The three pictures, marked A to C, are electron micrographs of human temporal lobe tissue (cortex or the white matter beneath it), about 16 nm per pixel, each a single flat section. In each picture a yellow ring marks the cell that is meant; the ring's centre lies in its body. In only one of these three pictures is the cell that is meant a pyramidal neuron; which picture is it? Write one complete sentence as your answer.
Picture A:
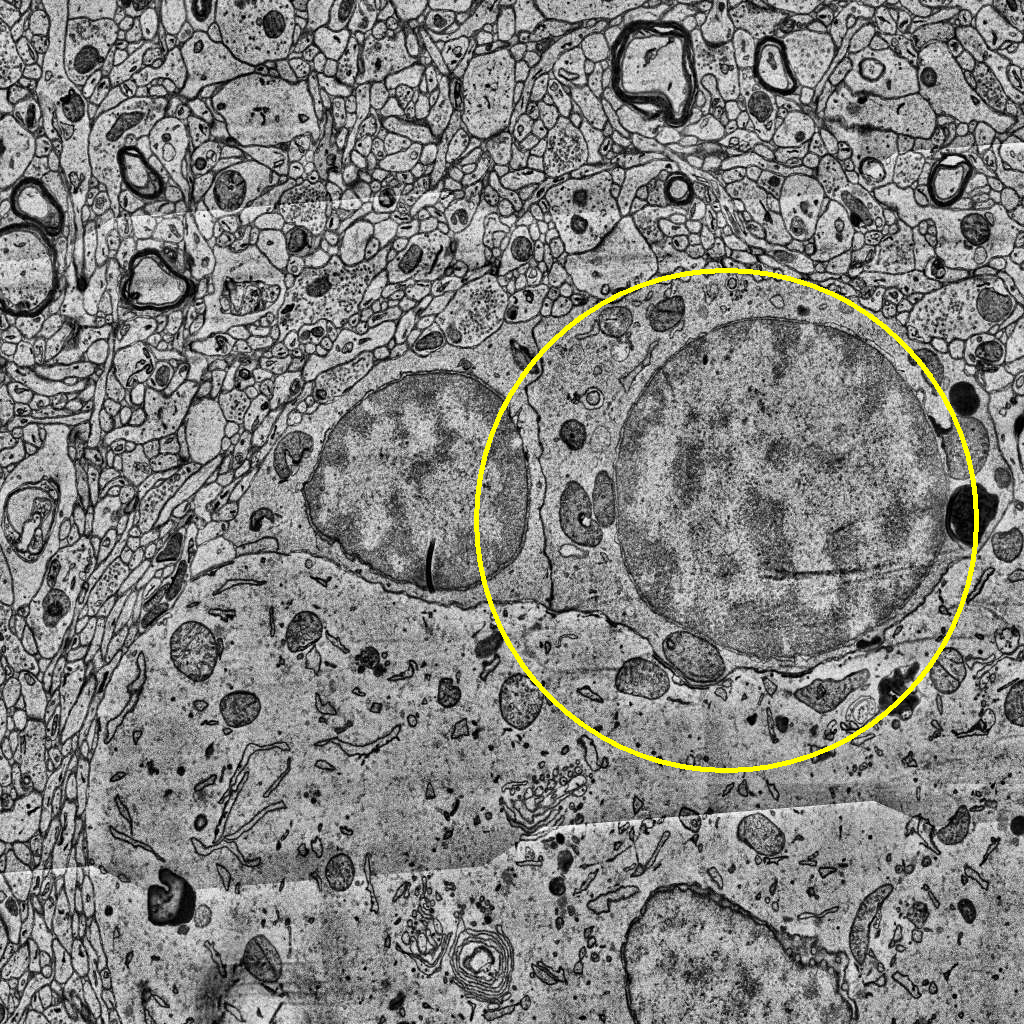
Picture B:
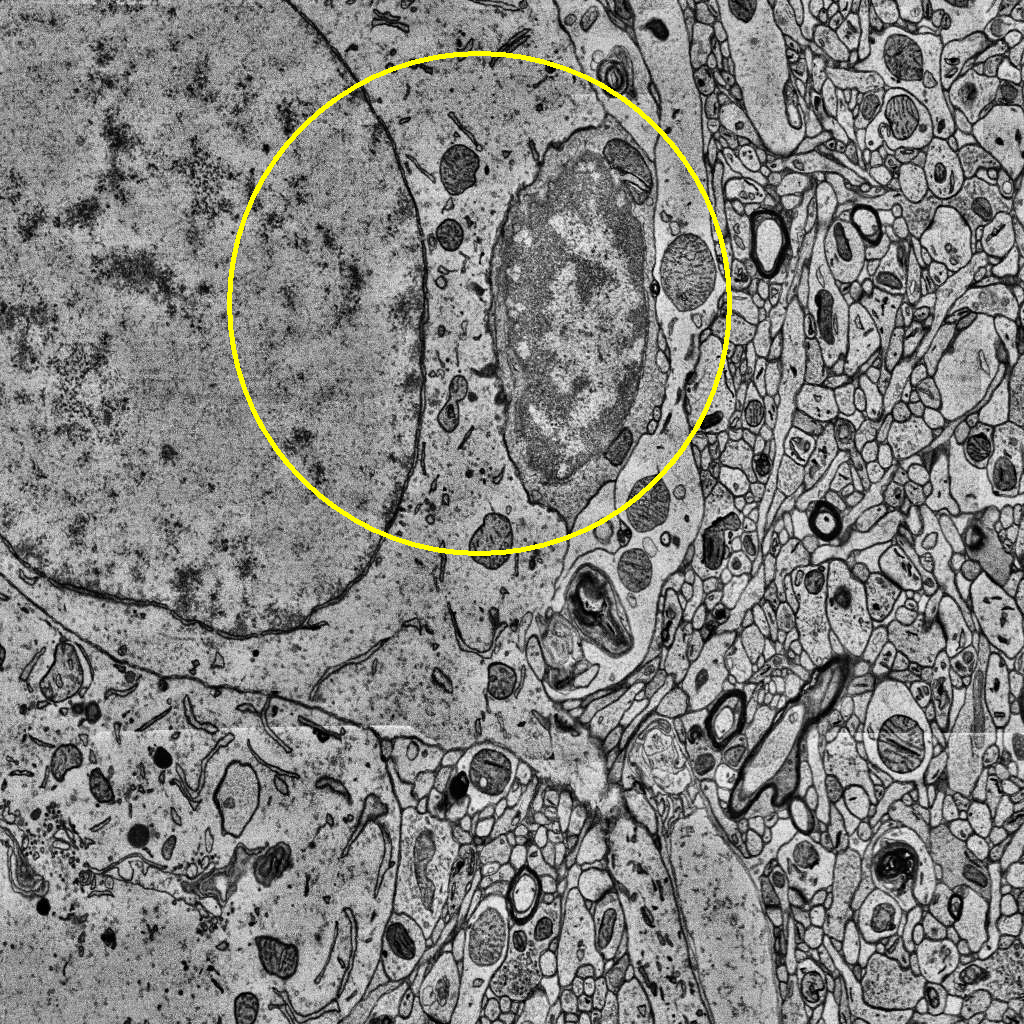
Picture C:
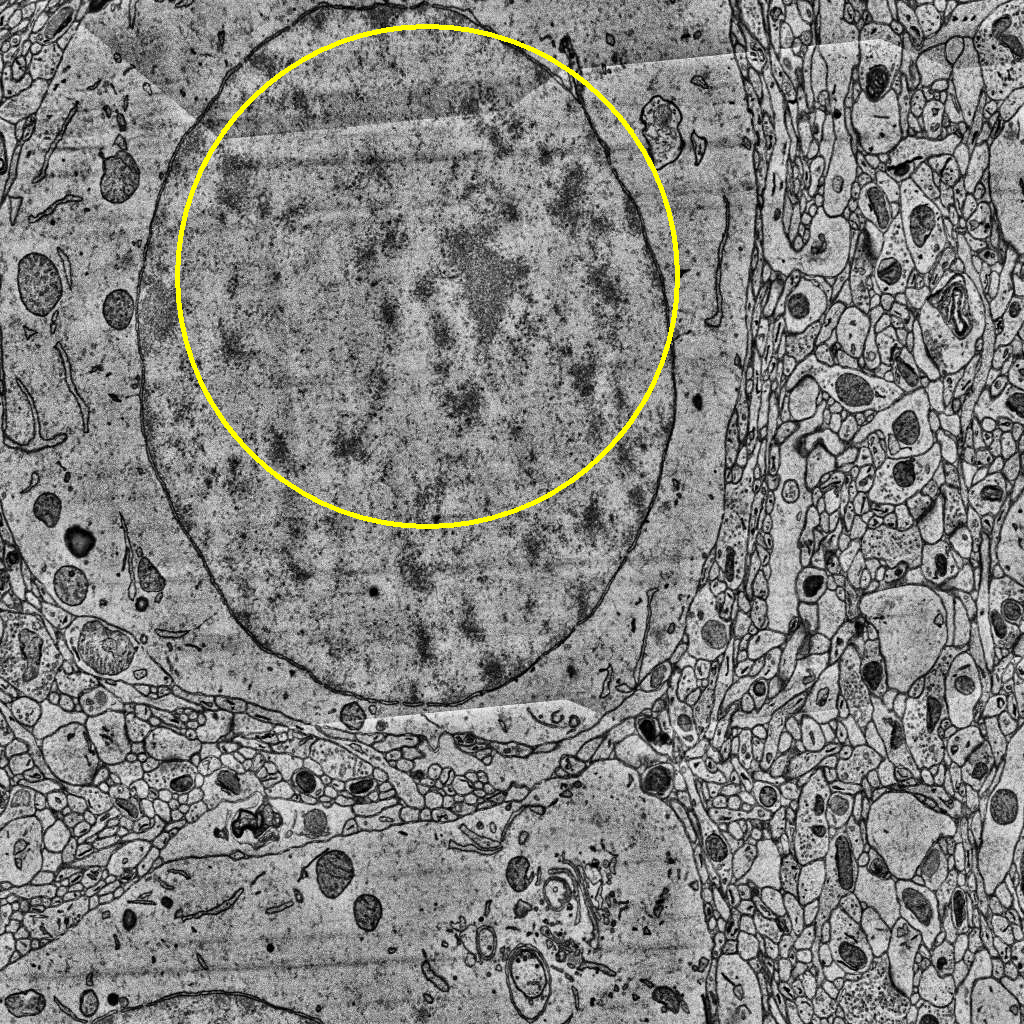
The cell in picture C is the pyramidal neuron.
